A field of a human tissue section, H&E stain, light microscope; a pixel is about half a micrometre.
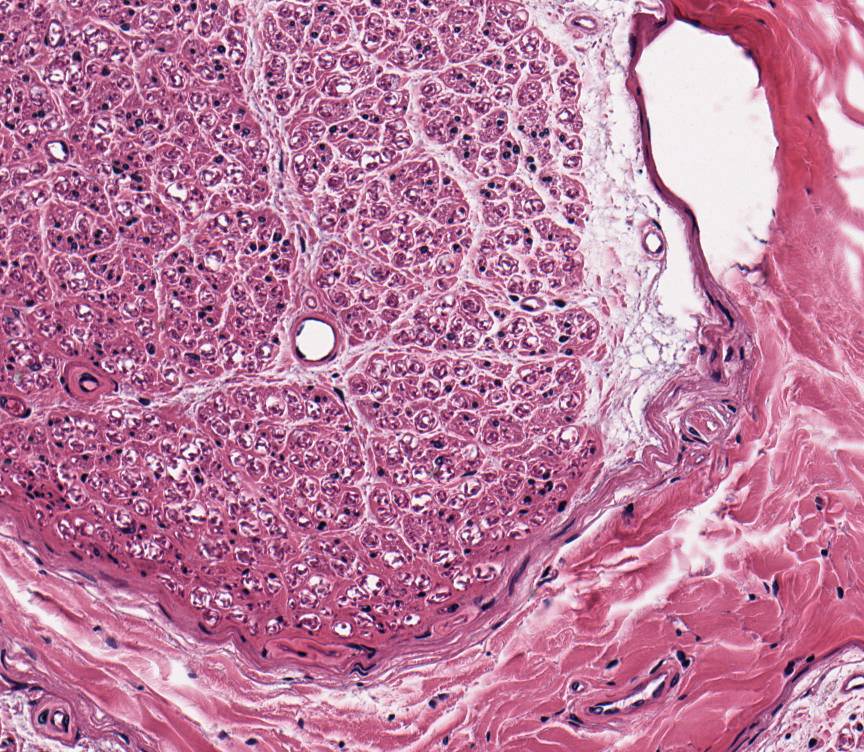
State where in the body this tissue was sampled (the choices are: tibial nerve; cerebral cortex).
tibial nerve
